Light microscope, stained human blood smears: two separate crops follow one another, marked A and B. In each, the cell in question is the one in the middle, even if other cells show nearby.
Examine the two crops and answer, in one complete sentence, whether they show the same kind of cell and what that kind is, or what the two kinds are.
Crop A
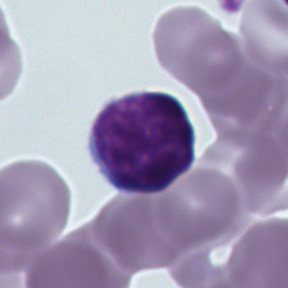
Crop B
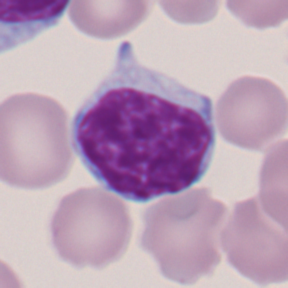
Yes, the two crops both show typical lymphocytes.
